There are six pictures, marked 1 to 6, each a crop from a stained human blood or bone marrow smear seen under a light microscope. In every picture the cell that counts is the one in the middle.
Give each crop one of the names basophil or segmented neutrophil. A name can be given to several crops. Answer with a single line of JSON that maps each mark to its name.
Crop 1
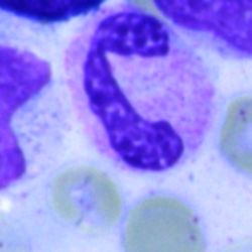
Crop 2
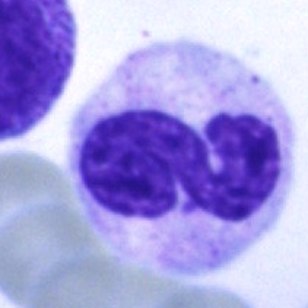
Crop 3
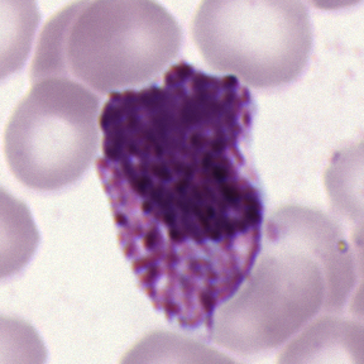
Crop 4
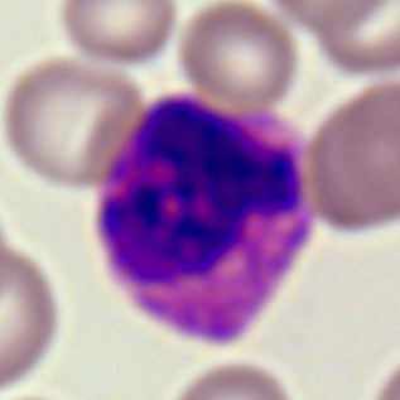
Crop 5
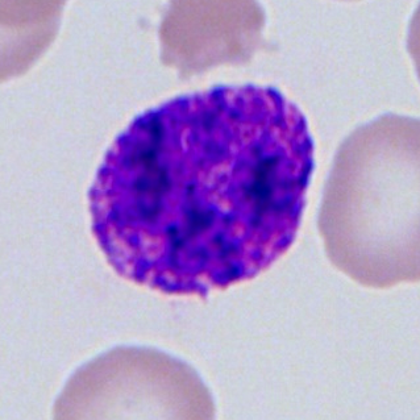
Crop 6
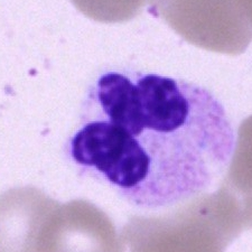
{"1": "segmented neutrophil", "2": "segmented neutrophil", "3": "basophil", "4": "basophil", "5": "basophil", "6": "segmented neutrophil"}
